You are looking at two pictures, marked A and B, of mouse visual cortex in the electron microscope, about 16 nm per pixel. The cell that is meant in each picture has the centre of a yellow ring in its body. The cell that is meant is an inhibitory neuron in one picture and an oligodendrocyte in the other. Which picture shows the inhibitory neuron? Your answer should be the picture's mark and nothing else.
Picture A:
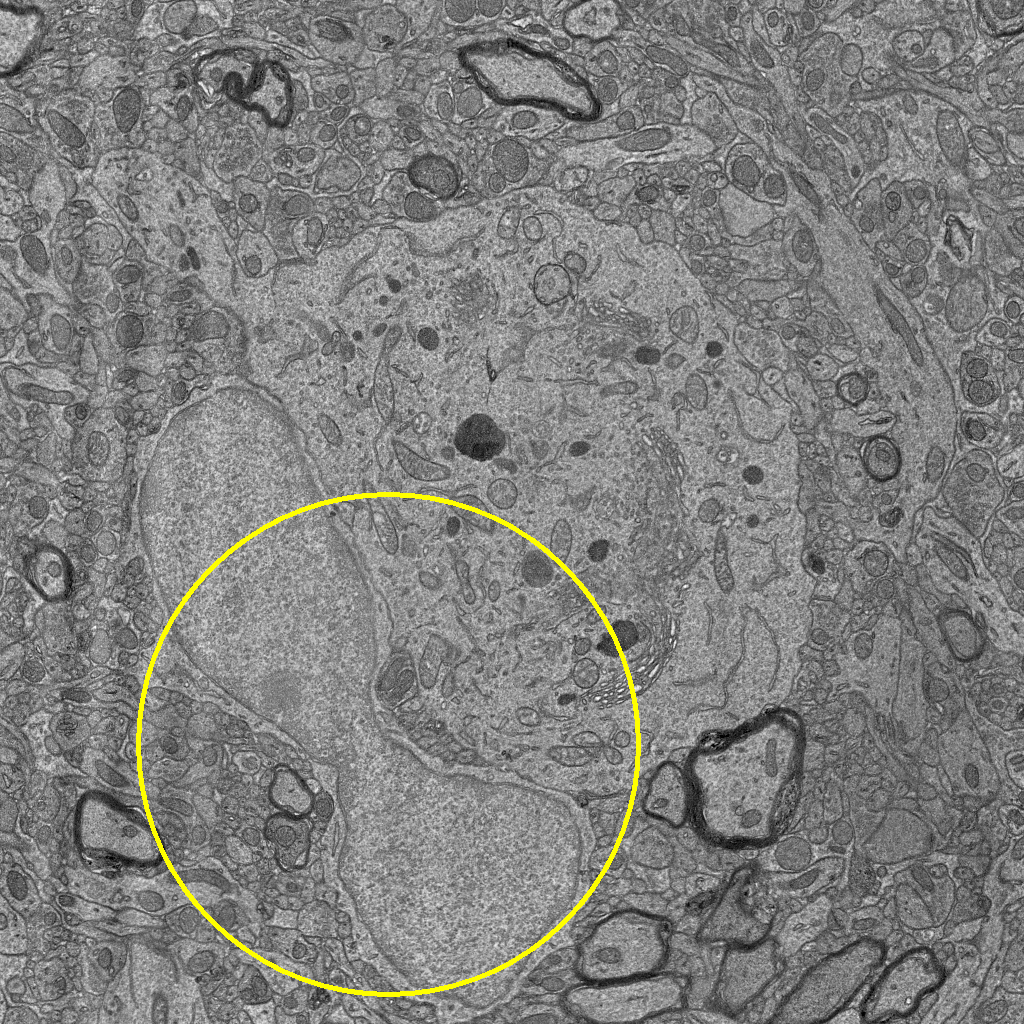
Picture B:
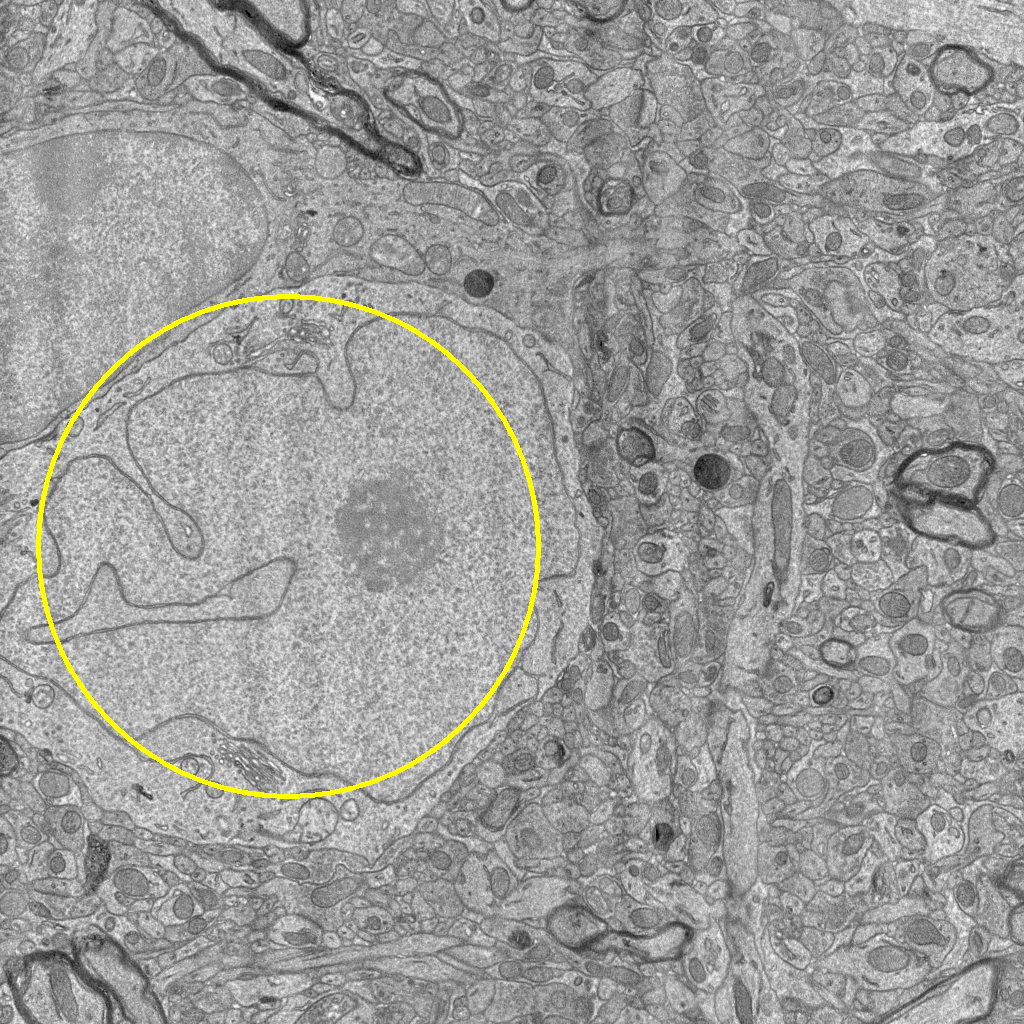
B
